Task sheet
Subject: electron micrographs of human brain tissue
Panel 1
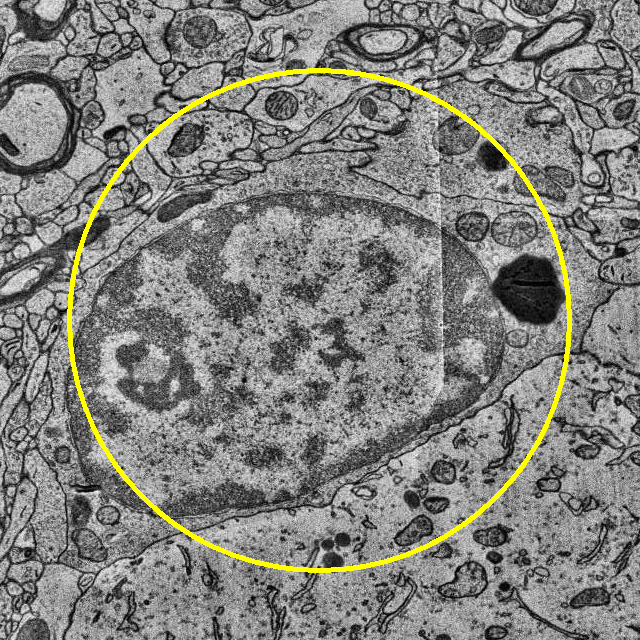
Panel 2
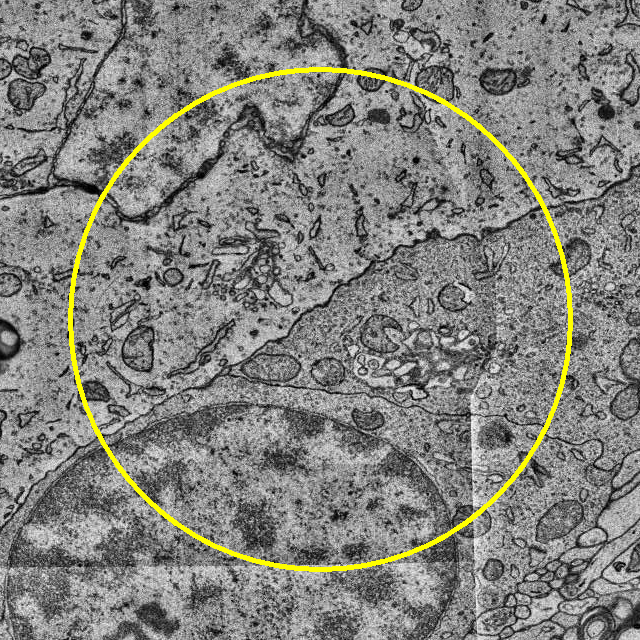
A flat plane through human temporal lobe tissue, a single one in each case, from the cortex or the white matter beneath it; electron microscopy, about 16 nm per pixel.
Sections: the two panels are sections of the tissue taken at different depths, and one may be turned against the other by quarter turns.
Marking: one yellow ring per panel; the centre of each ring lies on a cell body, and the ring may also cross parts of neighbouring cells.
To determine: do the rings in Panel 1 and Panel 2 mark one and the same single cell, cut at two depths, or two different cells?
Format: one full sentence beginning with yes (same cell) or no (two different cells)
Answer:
Yes, one single cell is under each of the two rings.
